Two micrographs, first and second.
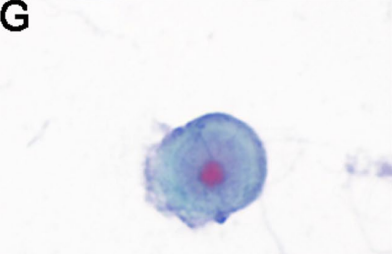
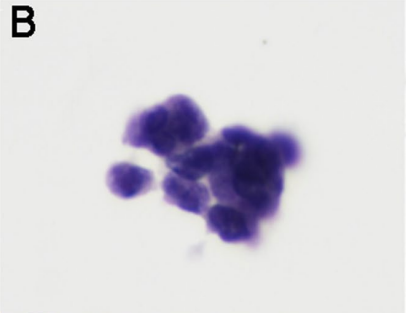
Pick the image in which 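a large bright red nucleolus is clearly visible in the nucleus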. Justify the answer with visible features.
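The first image. First image: a single round bright red body stands out in the centre of the nucleus. Second image: the clustered nuclei are dark purple throughout with no distinct red body.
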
